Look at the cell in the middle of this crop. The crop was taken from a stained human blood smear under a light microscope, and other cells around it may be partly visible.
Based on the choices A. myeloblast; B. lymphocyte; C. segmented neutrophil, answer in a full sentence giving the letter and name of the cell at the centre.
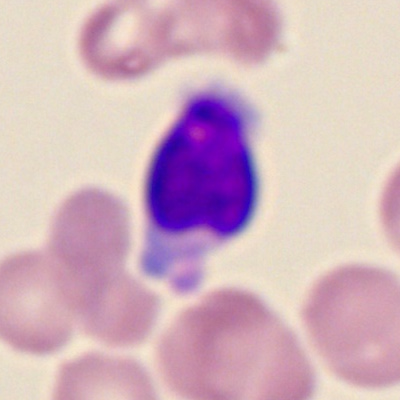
The cell centred in the crop is a lymphocyte, and the correct option is thus B.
